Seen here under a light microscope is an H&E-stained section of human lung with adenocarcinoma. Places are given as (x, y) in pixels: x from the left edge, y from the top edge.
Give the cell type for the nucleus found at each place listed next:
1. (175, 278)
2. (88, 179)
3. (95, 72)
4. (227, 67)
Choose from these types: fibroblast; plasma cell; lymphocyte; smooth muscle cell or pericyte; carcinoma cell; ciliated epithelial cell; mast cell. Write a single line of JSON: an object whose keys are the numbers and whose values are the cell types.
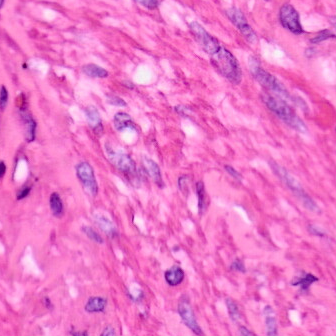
{"1": "mast cell", "2": "smooth muscle cell or pericyte", "3": "smooth muscle cell or pericyte", "4": "smooth muscle cell or pericyte"}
